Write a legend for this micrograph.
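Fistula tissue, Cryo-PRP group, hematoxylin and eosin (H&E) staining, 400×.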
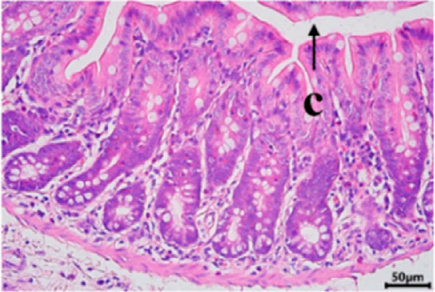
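This is mucosa with well-ordered crypts running side by side toward a narrow lumen. Each crypt is lined by a single continuous layer of columnar cells with purple basal nuclei and many pale, clear, round vacuoles. The surface lining is intact and the lumen holds little debris. The connective tissue between the crypts contains only scattered nuclei, and a pink muscle layer runs along the bottom.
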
